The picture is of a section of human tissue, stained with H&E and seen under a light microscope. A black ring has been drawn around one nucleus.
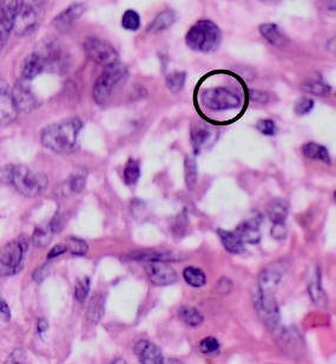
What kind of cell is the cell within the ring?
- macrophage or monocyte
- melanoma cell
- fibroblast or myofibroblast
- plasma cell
melanoma cell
